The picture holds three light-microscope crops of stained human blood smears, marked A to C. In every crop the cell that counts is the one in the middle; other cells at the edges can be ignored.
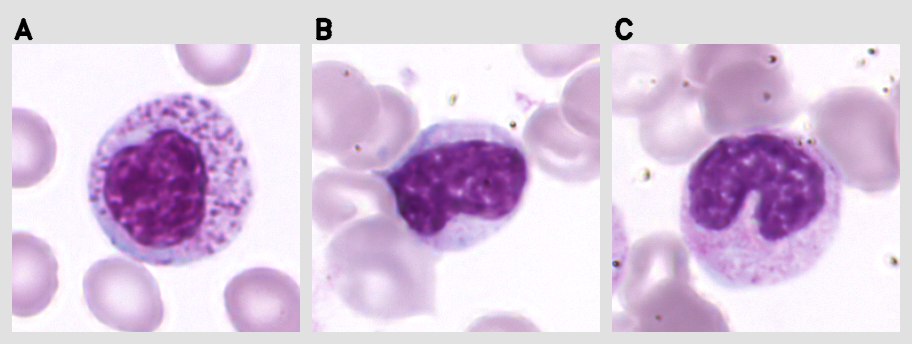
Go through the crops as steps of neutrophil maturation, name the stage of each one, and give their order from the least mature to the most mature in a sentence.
By increasing maturity, the order is crop A (a myelocyte), crop B (a metamyelocyte) and crop C (a band neutrophil).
